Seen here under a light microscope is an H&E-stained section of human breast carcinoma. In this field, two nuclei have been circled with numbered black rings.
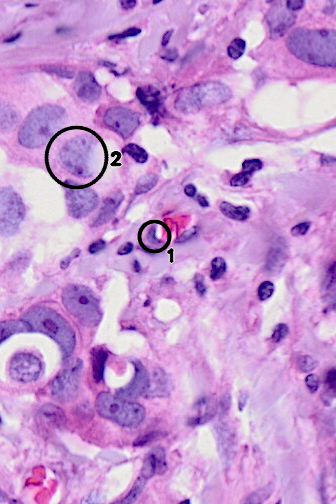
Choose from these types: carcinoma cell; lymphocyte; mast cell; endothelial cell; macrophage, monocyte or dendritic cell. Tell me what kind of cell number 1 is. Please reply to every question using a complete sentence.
The cell indicated by marker 1 is an endothelial cell in this section.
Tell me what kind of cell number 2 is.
Among the marked nuclei, number 2 belongs to a carcinoma cell.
